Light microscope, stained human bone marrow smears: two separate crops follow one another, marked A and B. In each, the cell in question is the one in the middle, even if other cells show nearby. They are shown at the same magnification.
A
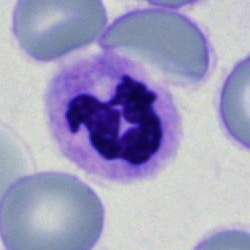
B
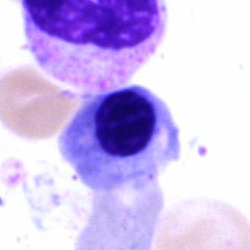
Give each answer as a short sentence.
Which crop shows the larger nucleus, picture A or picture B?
It is the nucleus in picture A, about 1.5 times as large in area as the one in picture B.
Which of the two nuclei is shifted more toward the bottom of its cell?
It is the nucleus in picture A that lies further toward the bottom of its cell.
